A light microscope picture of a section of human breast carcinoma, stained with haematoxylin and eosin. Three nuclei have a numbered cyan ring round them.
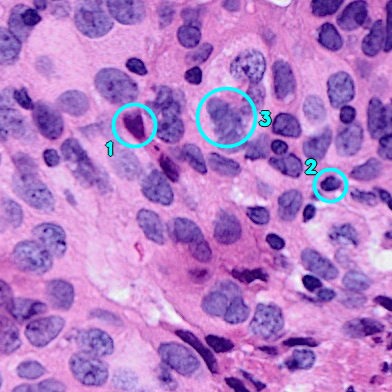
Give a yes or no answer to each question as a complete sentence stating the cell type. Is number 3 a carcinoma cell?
Yes, exactly, the cell numbered 3 is a carcinoma cell.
